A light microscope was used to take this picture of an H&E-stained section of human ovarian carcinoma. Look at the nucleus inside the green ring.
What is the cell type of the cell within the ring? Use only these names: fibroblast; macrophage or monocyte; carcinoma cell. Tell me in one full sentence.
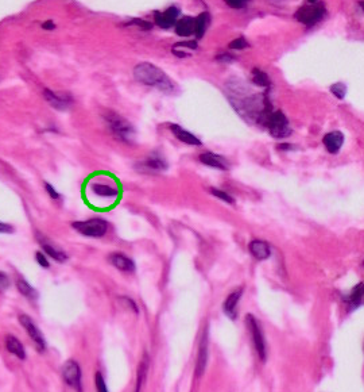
Just put down that the cell within the ring is a fibroblast.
